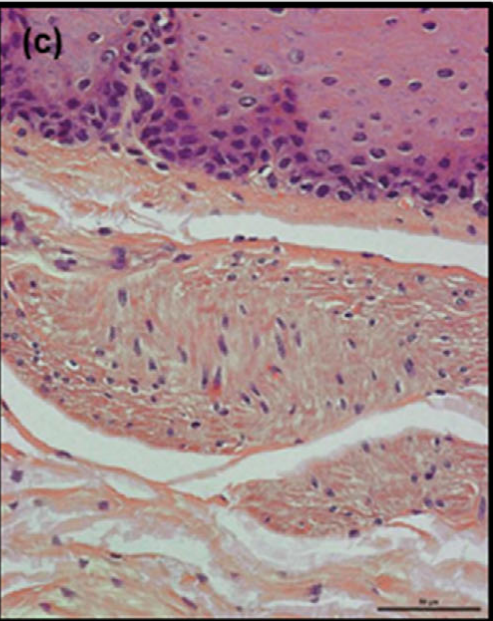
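Lamina muscularis mucosae of the esophagus beneath a stratified squamous epithelium, with a bundle containing muscle cells cut along their length. At the top, the epithelium shows a basal layer of crowded cells with dark purple nuclei and paler superficial cells. Below a thin band of pink connective tissue lies a large smooth muscle bundle in which spindle-shaped cells with elongated, rod-like nuclei run in a common direction through its middle. Clefts separate this bundle from connective tissue and a second muscle bundle below.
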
